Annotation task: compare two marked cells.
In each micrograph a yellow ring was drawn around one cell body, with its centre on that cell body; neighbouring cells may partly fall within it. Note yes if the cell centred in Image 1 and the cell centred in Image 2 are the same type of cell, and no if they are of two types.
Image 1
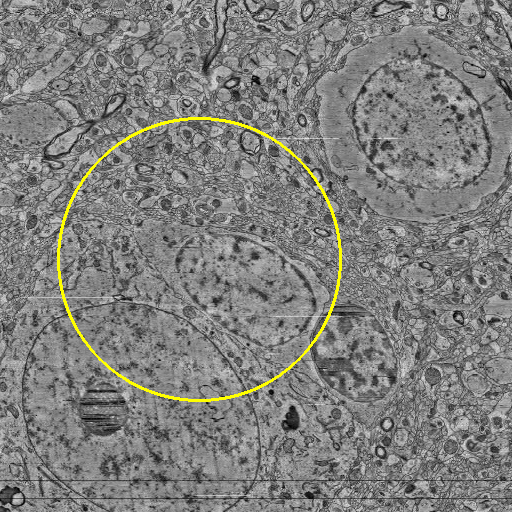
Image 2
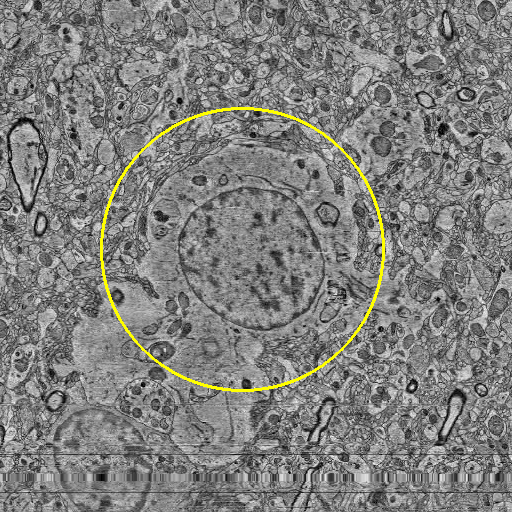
no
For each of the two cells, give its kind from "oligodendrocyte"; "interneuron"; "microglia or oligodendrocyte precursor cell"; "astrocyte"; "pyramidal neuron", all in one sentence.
The first picture has a microglial cell or oligodendrocyte precursor cell in its ring, the second has an astrocyte.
